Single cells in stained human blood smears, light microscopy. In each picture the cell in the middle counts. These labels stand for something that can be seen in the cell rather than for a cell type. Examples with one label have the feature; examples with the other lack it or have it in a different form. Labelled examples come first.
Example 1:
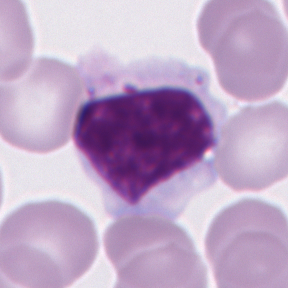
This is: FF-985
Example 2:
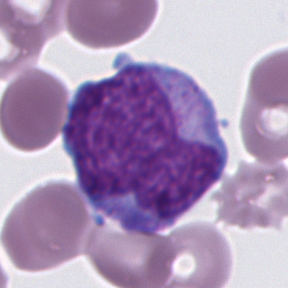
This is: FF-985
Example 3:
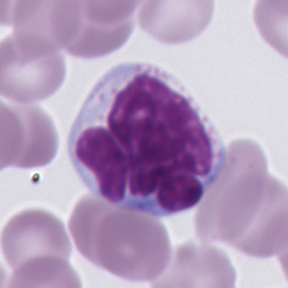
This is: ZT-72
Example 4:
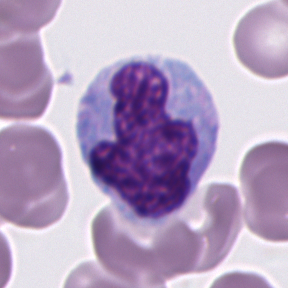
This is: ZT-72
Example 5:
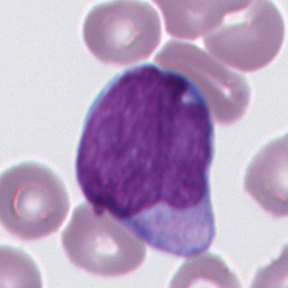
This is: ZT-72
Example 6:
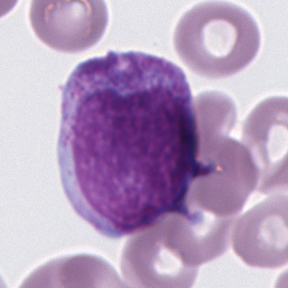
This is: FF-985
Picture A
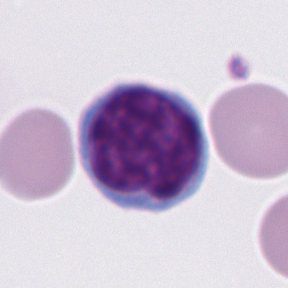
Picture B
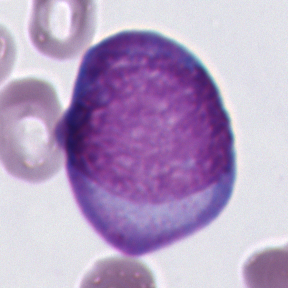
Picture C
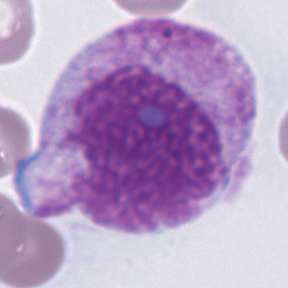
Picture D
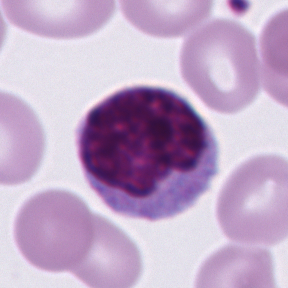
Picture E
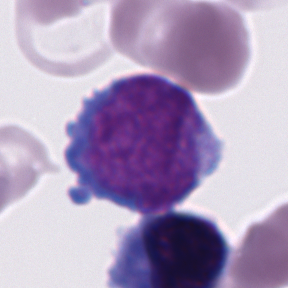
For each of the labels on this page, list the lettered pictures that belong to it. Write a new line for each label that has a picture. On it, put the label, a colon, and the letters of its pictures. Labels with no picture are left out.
FF-985: B, C, E
ZT-72: A, D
